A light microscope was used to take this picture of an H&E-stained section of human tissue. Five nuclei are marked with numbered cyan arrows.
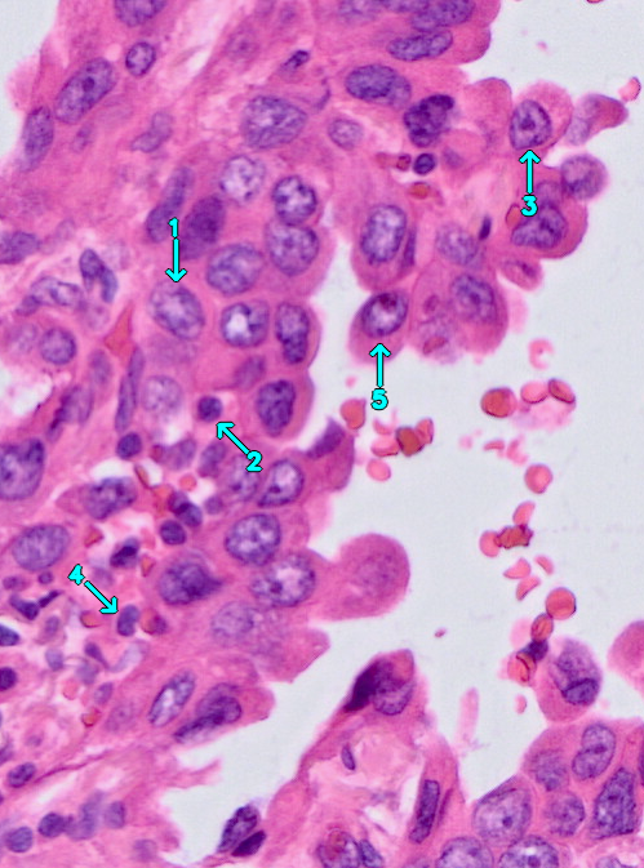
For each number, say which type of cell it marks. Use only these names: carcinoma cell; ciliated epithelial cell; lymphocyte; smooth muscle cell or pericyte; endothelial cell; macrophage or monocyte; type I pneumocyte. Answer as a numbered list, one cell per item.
1. carcinoma cell
2. lymphocyte
3. carcinoma cell
4. lymphocyte
5. carcinoma cell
